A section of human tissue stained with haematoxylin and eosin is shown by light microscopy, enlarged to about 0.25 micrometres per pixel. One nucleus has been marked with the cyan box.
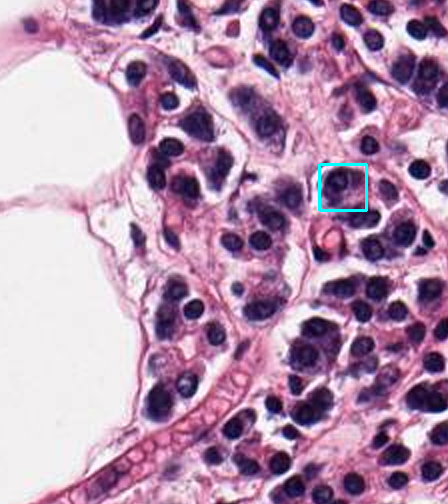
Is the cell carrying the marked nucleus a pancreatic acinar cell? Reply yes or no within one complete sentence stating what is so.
Yes, here the marked nucleus belongs to a pancreatic acinar cell.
